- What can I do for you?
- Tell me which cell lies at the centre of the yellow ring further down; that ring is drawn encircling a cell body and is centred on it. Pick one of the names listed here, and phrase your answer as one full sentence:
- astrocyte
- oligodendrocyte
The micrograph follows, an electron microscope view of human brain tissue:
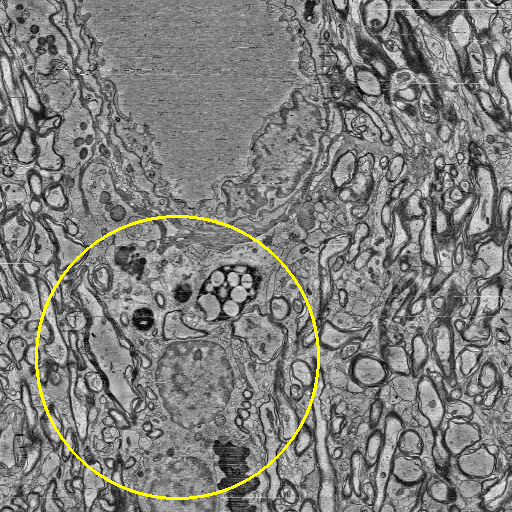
The cell whose body lies at the centre of the yellow ring is an oligodendrocyte.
